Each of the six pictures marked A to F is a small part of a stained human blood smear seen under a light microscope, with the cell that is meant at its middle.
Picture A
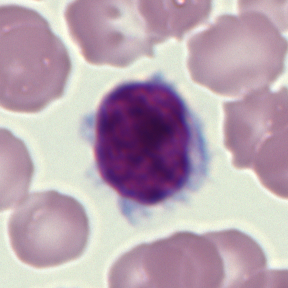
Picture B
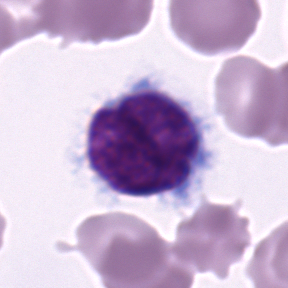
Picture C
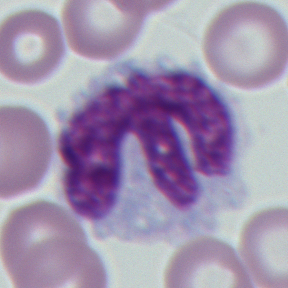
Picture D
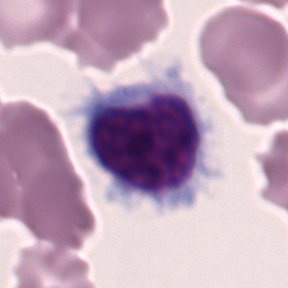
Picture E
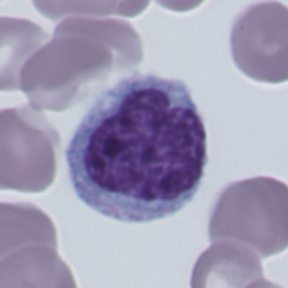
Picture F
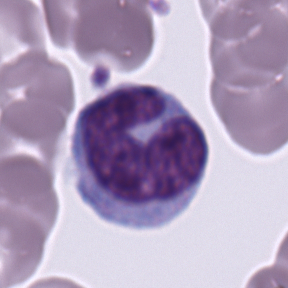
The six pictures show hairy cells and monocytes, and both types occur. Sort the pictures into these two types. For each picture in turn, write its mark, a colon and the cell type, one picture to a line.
A: hairy cell
B: hairy cell
C: monocyte
D: hairy cell
E: monocyte
F: monocyte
